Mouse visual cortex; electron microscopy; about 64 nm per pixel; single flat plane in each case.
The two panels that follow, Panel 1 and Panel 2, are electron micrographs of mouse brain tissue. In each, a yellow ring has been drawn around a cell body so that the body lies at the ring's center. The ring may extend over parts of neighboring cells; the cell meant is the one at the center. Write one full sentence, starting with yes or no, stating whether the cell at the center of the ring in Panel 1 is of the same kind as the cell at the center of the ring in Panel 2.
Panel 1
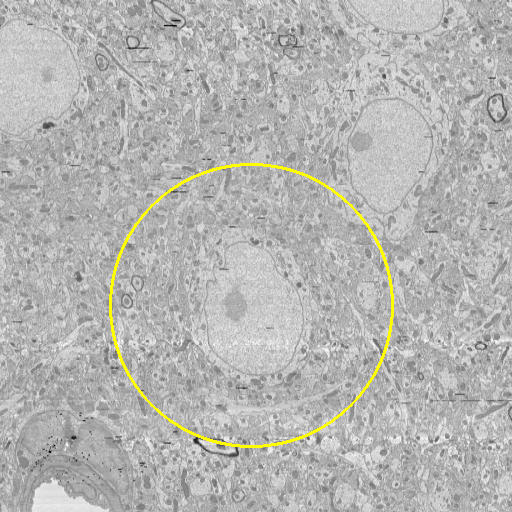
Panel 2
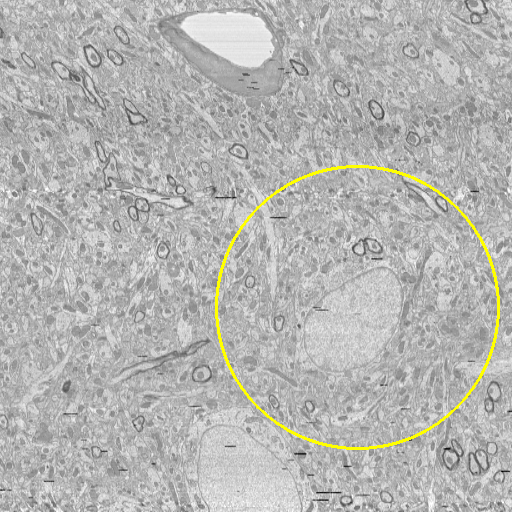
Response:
No, the cells in the two panels are of two kinds.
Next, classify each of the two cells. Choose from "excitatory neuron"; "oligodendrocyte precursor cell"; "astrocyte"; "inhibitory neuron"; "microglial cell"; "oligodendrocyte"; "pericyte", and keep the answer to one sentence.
In the first picture it is an excitatory neuron; in the second it is an astrocyte.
